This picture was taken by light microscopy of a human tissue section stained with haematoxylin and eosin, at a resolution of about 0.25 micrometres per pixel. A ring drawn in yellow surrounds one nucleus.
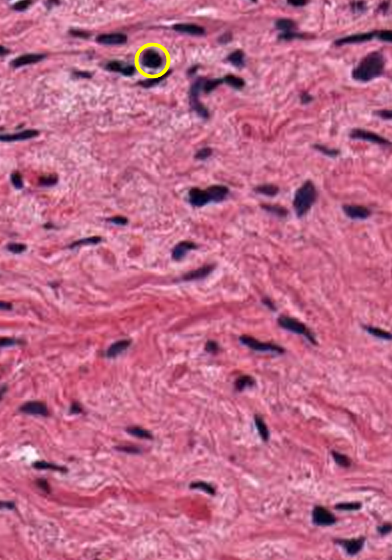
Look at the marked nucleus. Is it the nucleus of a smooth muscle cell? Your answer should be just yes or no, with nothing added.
no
